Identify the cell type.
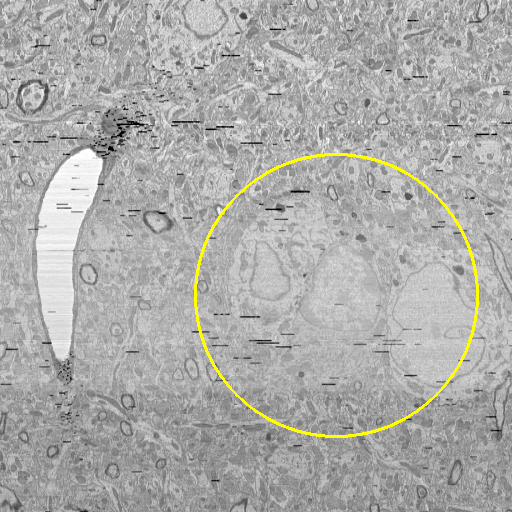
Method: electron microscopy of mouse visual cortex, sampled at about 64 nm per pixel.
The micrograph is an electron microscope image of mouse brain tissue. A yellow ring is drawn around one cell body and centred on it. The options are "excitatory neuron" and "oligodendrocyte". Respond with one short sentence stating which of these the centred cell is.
The cell body in the ring belongs to an oligodendrocyte.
